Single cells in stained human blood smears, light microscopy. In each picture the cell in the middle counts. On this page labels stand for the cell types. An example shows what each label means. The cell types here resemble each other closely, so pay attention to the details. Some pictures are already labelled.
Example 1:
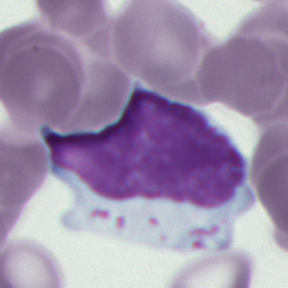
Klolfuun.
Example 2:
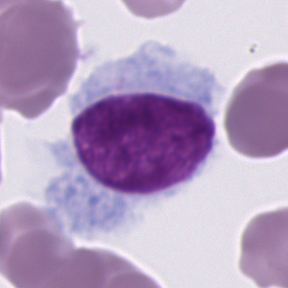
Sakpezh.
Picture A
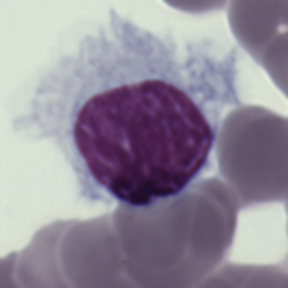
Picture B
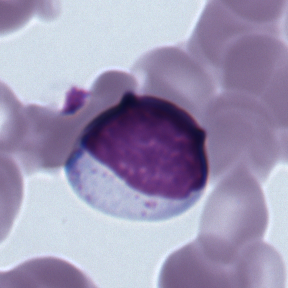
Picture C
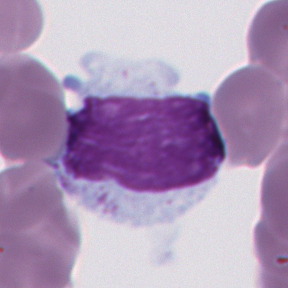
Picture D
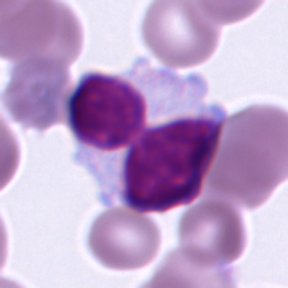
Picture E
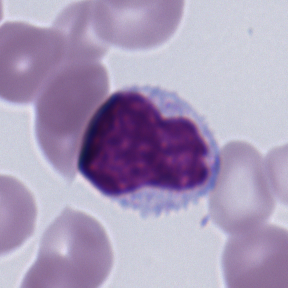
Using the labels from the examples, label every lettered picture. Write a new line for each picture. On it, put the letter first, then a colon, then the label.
A: Sakpezh.
B: Klolfuun.
C: Klolfuun.
D: Klolfuun.
E: Klolfuun.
